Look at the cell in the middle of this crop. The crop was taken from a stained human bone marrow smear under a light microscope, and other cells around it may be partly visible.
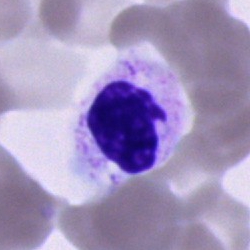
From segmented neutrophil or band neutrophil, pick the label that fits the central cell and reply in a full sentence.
The middle of this crop holds a segmented neutrophil.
